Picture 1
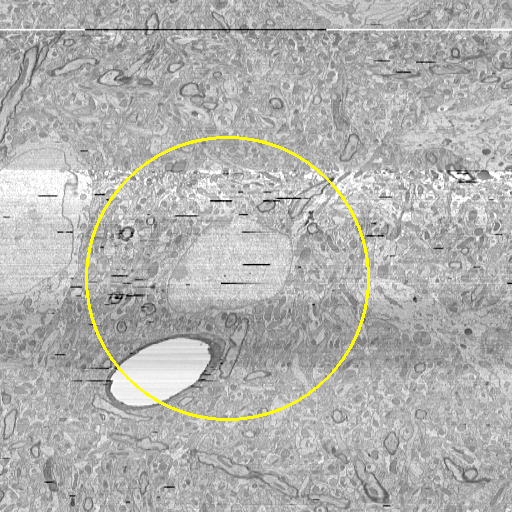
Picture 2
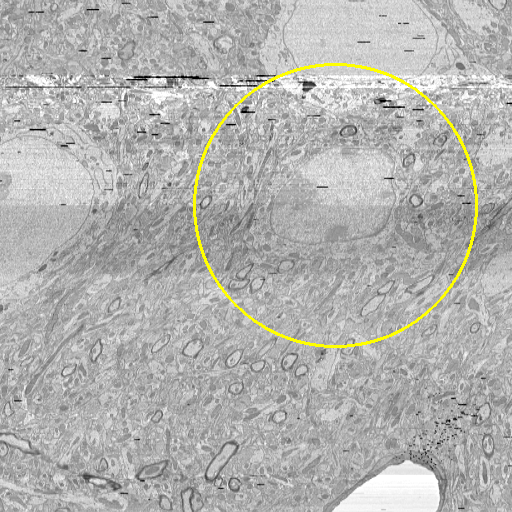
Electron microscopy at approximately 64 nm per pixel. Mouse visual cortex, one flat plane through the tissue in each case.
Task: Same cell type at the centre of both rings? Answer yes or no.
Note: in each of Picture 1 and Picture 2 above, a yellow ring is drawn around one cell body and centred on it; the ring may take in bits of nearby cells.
yes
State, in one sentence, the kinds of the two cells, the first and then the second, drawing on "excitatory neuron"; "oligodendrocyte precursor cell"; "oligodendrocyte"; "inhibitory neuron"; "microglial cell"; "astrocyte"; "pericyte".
The cell at the ring centre is an astrocyte in both pictures.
